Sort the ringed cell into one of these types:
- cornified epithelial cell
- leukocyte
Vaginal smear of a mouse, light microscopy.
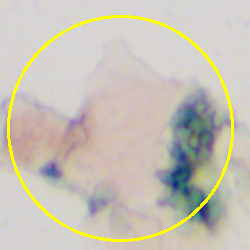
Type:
cornified epithelial cell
